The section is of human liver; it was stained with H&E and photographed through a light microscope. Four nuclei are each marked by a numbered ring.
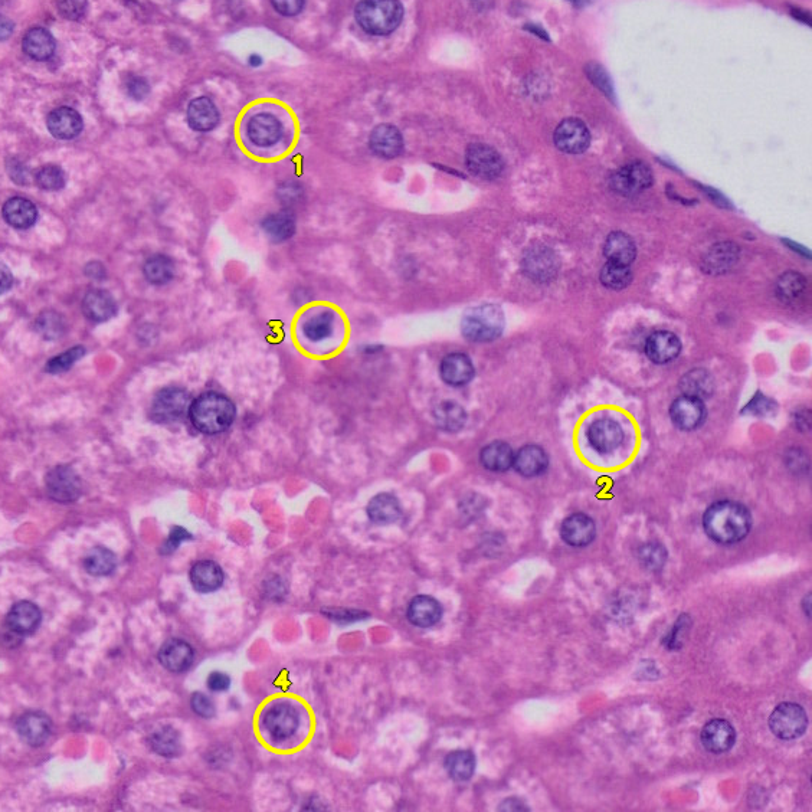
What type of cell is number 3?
lymphocyte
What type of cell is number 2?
hepatocyte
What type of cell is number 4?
hepatocyte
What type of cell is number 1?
hepatocyte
